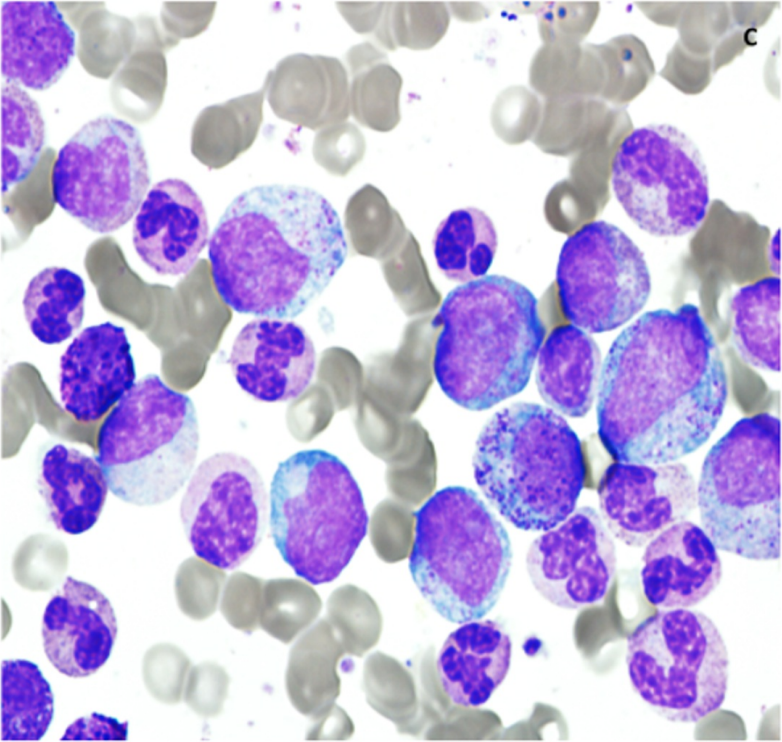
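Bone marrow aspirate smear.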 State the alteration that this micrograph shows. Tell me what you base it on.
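Immature cells with oval nuclei and blue cytoplasm lie beside segmented forms. Cells crowd the field between the red cells.
Hence: granulocytic hyperplasia.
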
